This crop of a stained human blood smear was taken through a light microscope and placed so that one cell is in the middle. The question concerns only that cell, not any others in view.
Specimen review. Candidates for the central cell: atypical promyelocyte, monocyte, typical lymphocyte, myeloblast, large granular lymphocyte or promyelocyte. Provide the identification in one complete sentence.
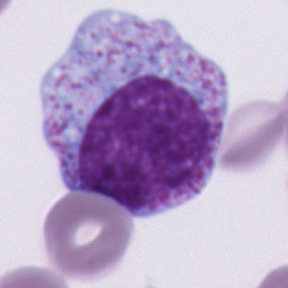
This crop is built around a promyelocyte at its centre.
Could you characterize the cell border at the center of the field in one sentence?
Rather than running smoothly, the cell border is ragged or carries projections.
